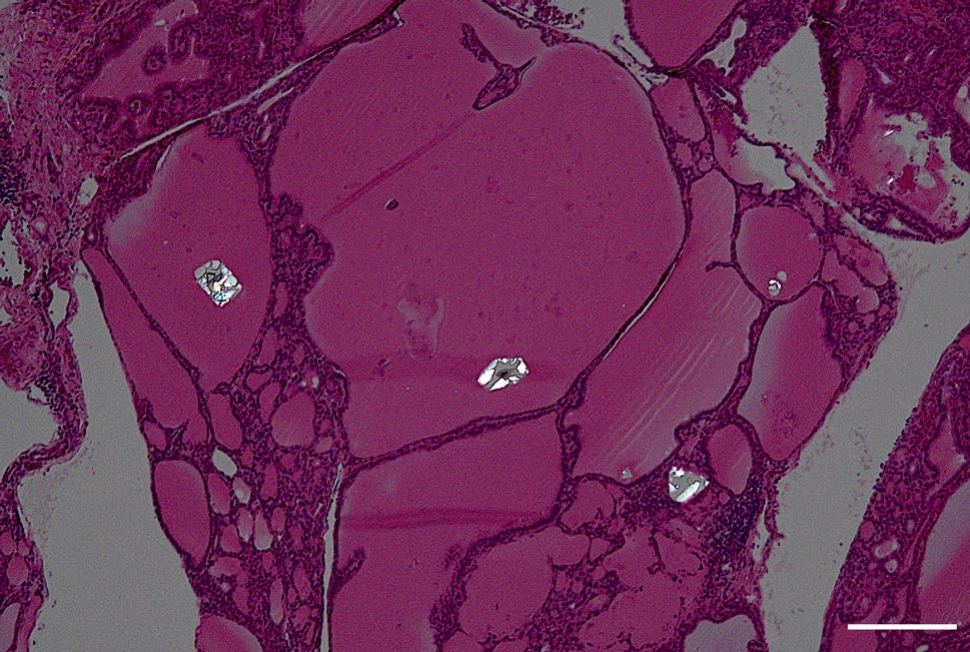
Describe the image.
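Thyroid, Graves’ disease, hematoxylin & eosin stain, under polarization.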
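Large and small rounded spaces filled with smooth, homogeneous pink material are lined by thin rims of flattened cells with dark nuclei, with denser cellular tissue and small follicles between them. Within the pink contents of a few of the large spaces lie small, angular, brightly shining glassy bodies.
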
